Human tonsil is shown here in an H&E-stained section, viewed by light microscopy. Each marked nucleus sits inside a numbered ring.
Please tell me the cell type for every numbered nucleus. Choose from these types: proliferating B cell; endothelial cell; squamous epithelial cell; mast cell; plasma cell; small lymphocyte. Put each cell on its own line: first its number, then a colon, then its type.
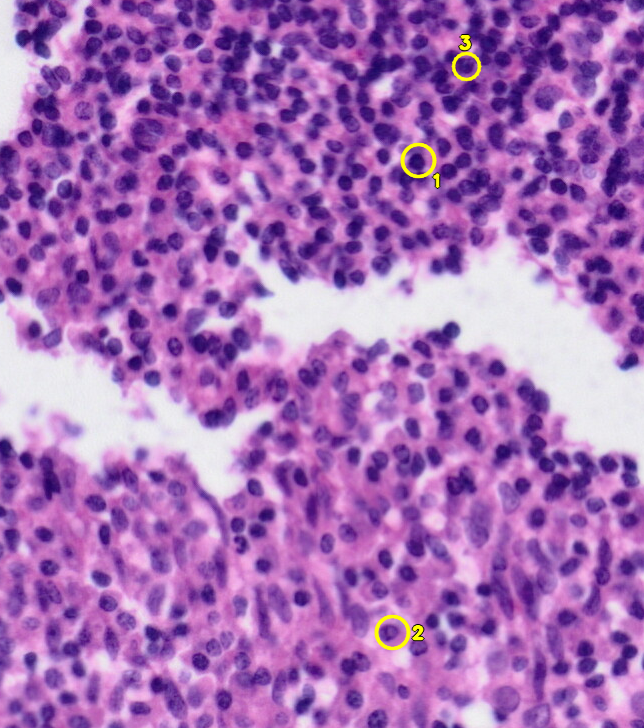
1: small lymphocyte
2: plasma cell
3: small lymphocyte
